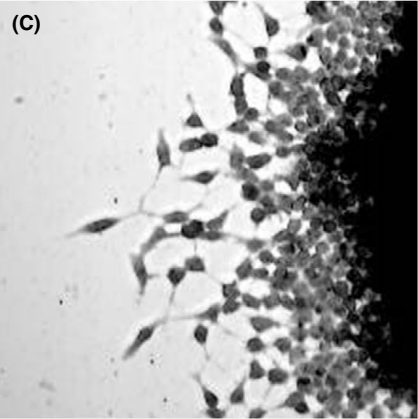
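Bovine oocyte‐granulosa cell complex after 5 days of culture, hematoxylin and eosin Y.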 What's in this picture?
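At the right a dense, uniformly dark mass of packed cells fills the margin. Next to it lie many small, rounded, darkly stained cells crowded together like pebbles. Farther from the mass the cells become sparser and angular, rhomboid or spindle-shaped, each with a dark body and thin pale processes that reach to neighbouring cells, forming an open network on the clear background. No broad flattened cells are seen.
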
